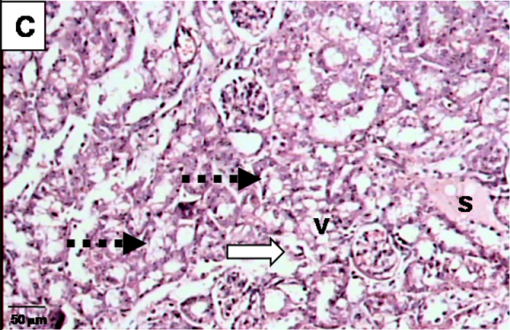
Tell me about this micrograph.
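Kidney cortex with glomeruli and renal tubules in which the tubular epithelium is extensively damaged: many tubule linings are pale, broken up and lose their cell outlines and nuclei. Tubular cells show wide clear vacuoles, some cells have small dark condensed nuclei, and a homogeneous pink cast fills one tubular lumen. The tissue looks loosened, with many empty spaces between tubules.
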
